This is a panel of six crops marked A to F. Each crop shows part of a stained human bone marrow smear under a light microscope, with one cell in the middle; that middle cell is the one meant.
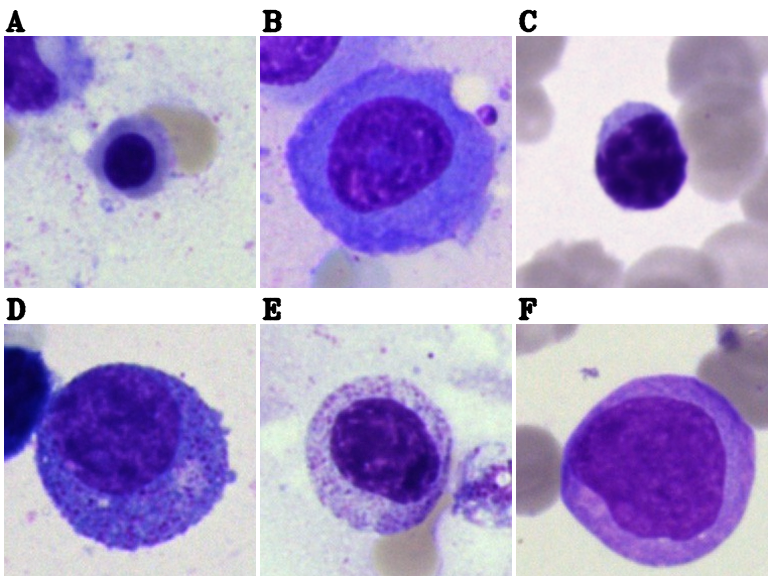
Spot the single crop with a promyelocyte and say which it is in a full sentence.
Crop D is the crop featuring a promyelocyte at its center.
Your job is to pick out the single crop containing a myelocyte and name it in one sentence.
Within this set, crop E is the one with a myelocyte at its center.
